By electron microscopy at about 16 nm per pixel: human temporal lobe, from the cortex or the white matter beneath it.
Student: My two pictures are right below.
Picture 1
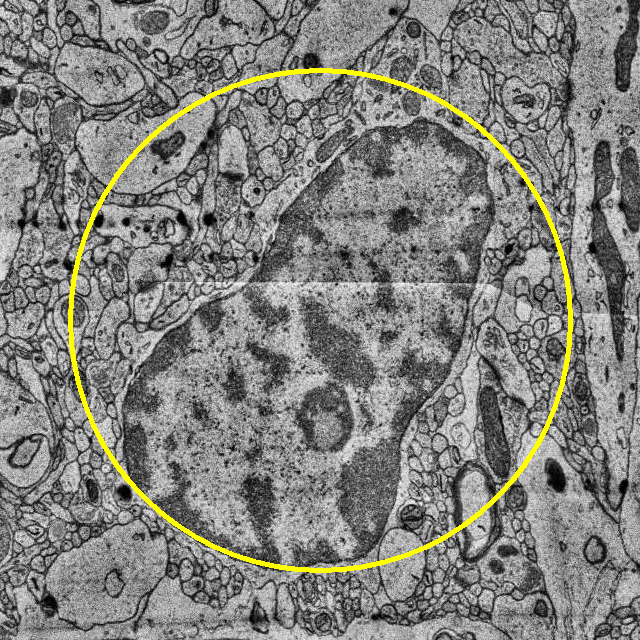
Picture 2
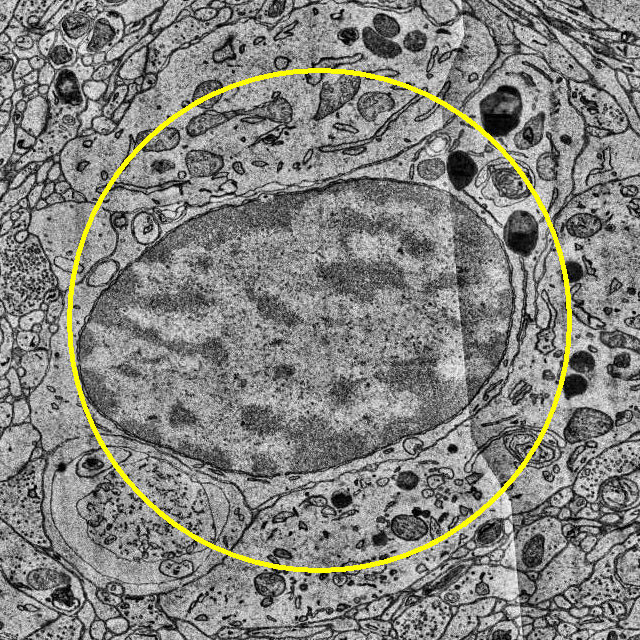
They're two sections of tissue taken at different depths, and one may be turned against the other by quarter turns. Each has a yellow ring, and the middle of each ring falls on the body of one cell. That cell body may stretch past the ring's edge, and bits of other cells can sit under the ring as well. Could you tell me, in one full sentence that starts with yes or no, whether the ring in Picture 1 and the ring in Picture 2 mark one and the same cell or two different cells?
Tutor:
No, the yellow rings mark two separate cells, not one.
